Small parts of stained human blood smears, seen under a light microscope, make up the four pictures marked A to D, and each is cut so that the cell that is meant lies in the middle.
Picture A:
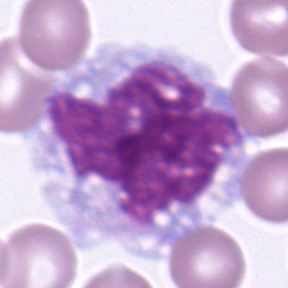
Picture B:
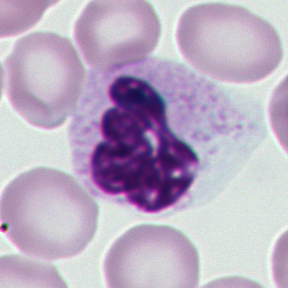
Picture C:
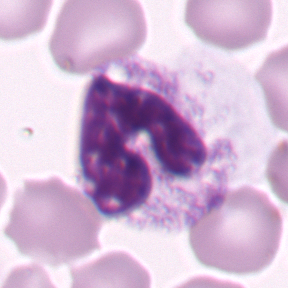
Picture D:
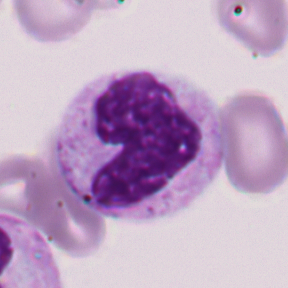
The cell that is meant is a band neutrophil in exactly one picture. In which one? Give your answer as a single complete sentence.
The cell in picture D is the band neutrophil.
